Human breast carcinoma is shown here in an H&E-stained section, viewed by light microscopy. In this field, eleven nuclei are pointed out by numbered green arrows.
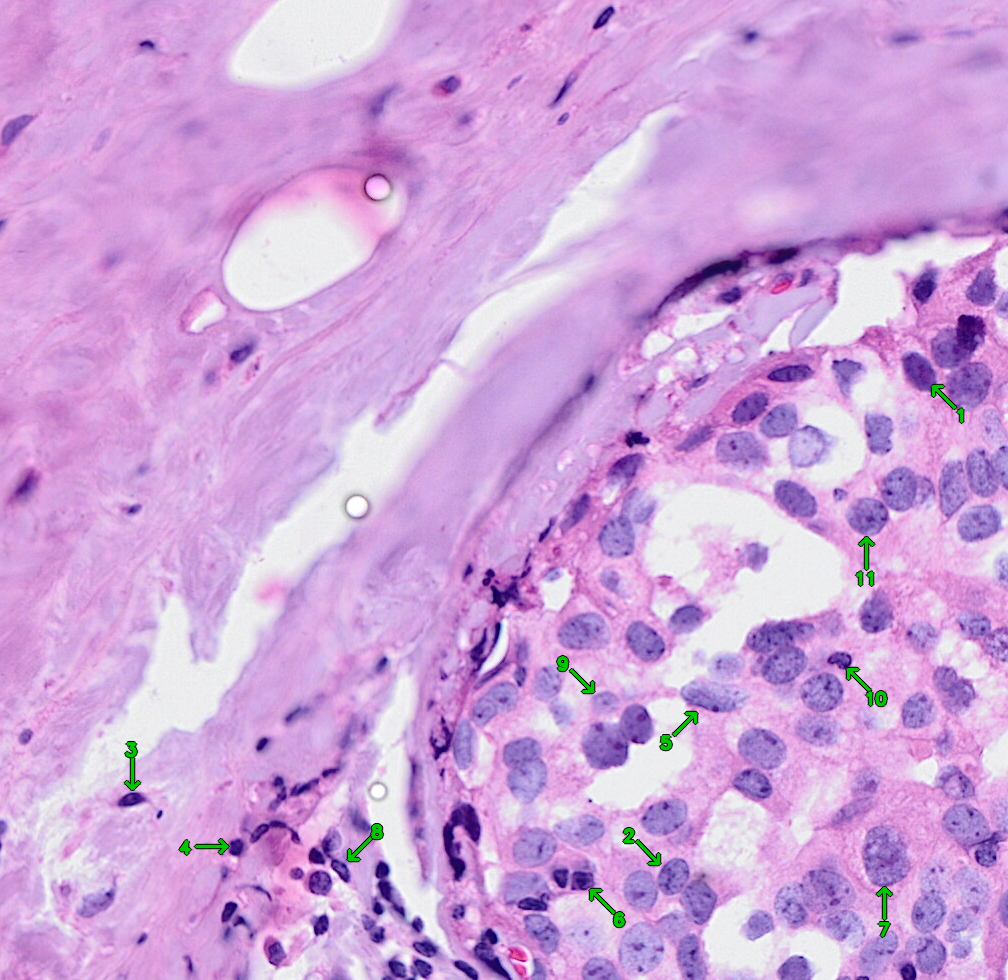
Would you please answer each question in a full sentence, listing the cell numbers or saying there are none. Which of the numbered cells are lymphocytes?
Cells that were given the numbers 3, 4, 6, 8 and 10 are lymphocytes.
